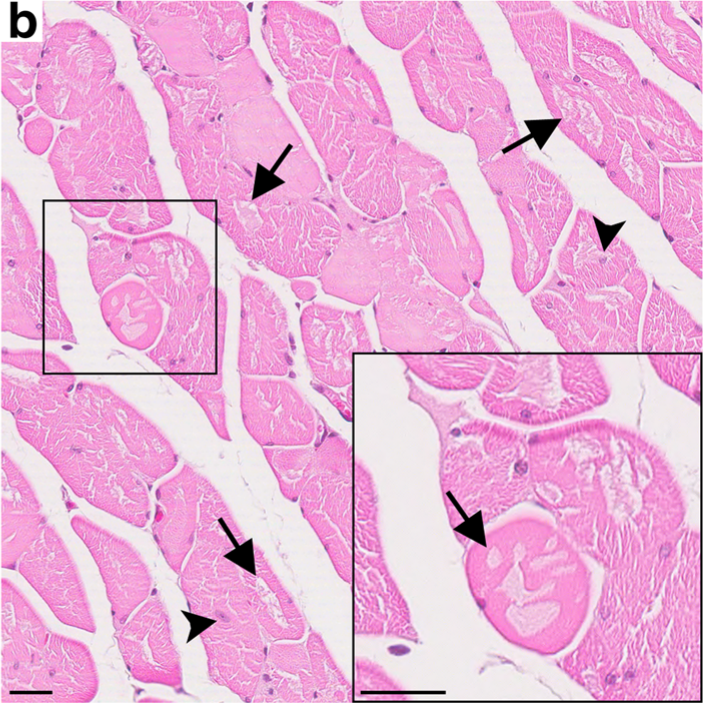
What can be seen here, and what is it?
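Skeletal muscle fibers cut obliquely, varying in size and shape, some rounded and some elongated. Many fibers contain pale, irregular clear areas near and beneath their surface. Several dark purple nuclei lie inside fibers rather than at their edge. One rounded fiber shows a smooth pink rim around pale cleft-like spaces.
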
